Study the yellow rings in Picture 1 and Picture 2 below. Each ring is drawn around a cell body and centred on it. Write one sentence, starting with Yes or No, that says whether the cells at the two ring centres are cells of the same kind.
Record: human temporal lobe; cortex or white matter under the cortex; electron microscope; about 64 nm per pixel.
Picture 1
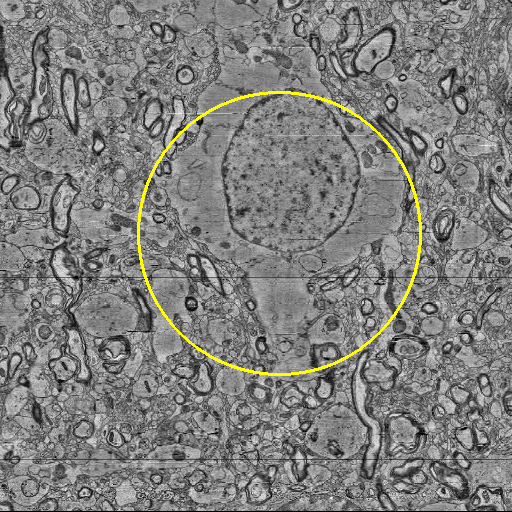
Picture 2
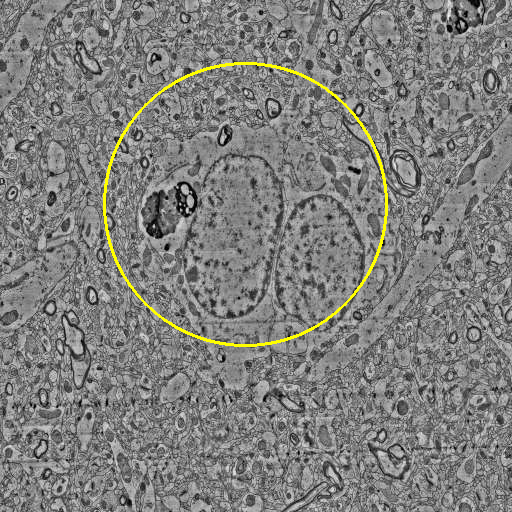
Yes, the cells at both ring centres are of the same kind.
